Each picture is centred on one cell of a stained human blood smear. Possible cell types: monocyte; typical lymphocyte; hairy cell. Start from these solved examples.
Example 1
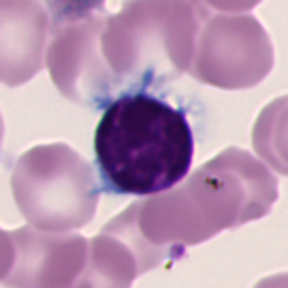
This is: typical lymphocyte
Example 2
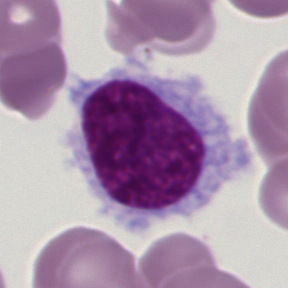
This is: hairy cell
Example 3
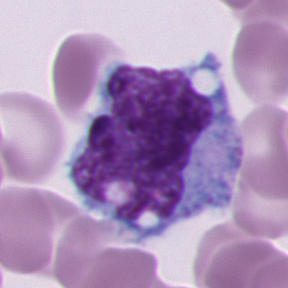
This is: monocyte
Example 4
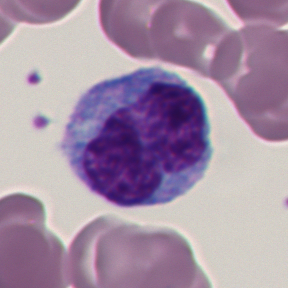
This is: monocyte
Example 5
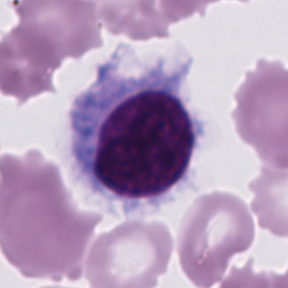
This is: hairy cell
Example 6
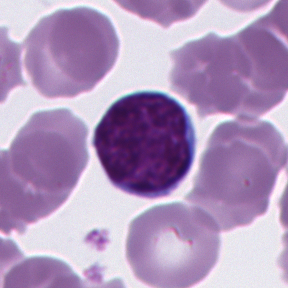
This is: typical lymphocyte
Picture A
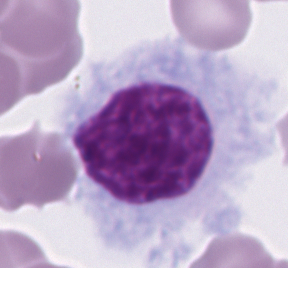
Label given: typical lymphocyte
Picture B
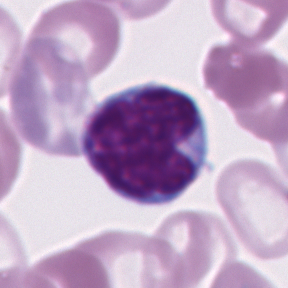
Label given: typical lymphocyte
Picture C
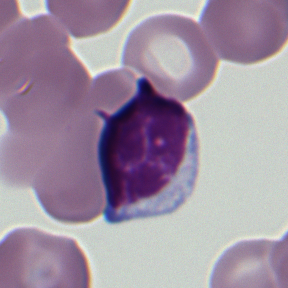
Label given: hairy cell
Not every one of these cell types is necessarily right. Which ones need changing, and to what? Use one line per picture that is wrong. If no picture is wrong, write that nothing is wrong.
A: not typical lymphocyte but hairy cell
C: not hairy cell but typical lymphocyte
